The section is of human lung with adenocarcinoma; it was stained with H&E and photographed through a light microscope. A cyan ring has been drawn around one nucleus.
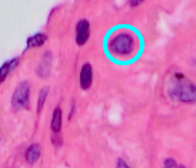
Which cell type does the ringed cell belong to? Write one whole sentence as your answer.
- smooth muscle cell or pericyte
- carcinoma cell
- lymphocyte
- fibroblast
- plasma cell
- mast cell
As a matter of cell type, the ringed cell is a mast cell.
